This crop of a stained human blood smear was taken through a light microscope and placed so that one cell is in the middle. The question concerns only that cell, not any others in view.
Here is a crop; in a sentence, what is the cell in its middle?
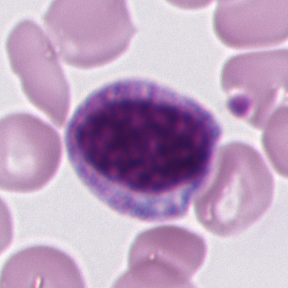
The cell nearest the centre of this crop is a metamyelocyte.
